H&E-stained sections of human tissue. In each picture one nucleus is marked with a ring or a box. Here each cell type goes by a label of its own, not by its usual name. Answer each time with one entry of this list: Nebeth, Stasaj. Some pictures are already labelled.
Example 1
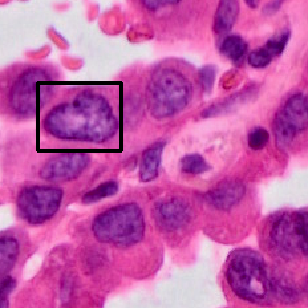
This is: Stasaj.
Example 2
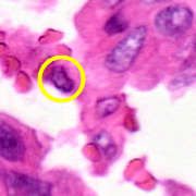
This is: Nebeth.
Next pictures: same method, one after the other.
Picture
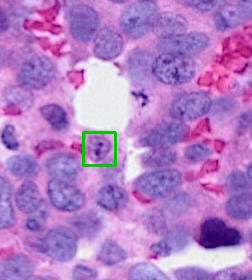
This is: Nebeth.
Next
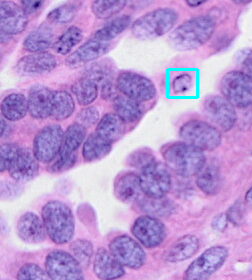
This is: Nebeth.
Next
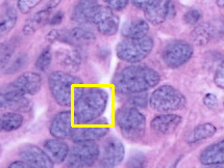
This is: Stasaj.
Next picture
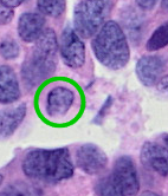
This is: Nebeth.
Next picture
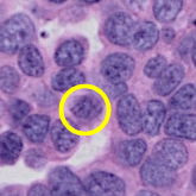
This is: Stasaj.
